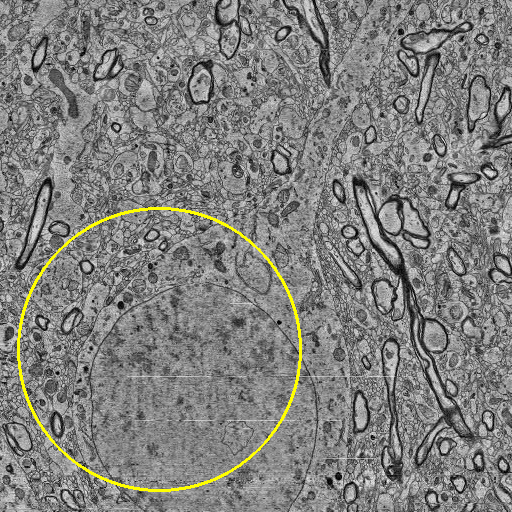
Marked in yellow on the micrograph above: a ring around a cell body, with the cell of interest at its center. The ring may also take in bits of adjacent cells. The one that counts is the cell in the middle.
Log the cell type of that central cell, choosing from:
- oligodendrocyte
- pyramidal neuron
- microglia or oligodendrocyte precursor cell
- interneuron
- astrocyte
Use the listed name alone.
pyramidal neuron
